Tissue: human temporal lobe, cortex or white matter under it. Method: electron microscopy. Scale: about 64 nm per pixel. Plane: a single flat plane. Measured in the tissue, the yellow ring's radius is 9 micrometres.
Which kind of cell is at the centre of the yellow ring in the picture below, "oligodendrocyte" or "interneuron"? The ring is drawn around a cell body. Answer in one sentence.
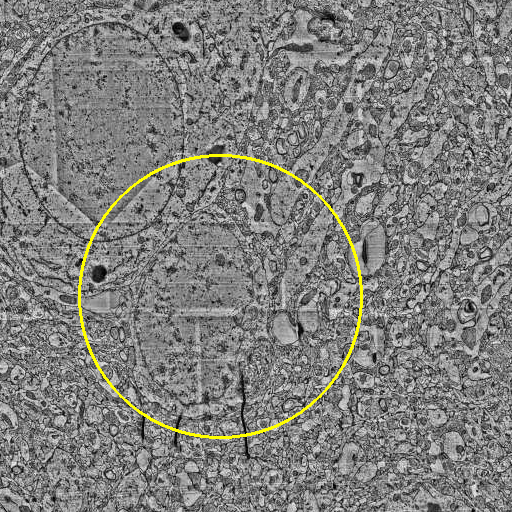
The ring's central cell is an interneuron.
